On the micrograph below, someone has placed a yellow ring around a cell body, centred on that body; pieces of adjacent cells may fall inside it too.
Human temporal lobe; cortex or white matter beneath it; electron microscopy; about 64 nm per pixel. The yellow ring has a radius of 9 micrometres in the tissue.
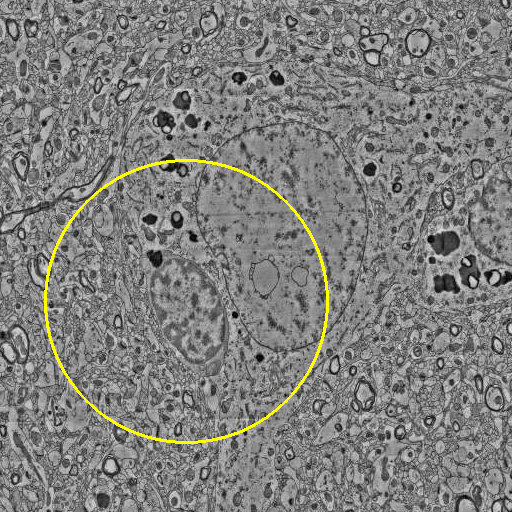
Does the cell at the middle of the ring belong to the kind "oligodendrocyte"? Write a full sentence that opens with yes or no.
Yes, the cell lying at the ring's centre on the micrograph is that kind.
